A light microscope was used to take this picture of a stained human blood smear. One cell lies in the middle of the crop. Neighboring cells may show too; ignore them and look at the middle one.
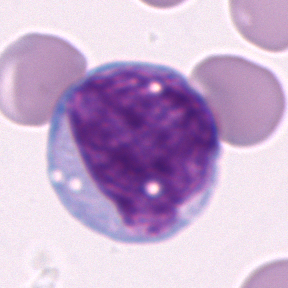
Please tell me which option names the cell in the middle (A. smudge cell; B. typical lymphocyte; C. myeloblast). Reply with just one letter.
C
